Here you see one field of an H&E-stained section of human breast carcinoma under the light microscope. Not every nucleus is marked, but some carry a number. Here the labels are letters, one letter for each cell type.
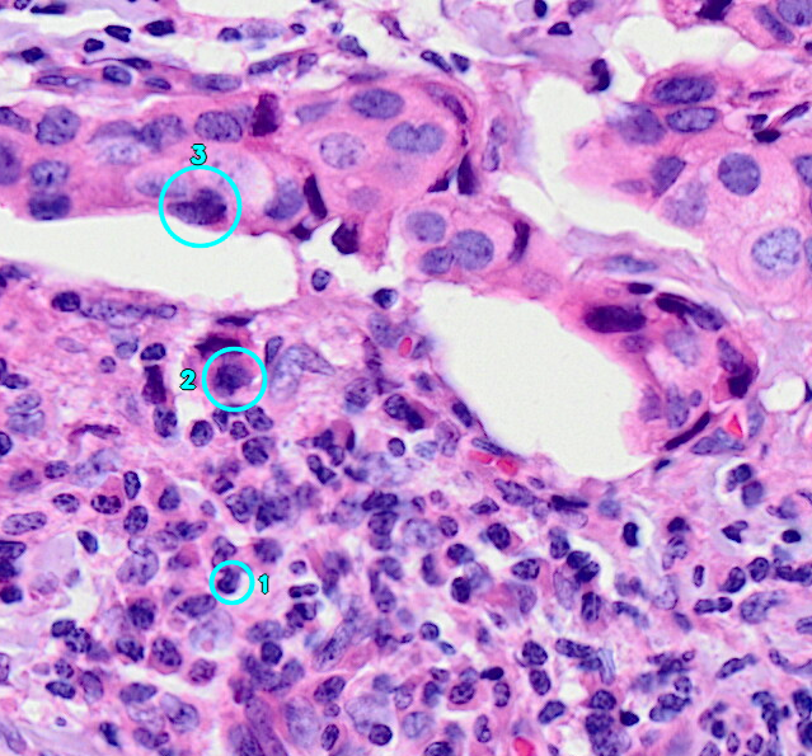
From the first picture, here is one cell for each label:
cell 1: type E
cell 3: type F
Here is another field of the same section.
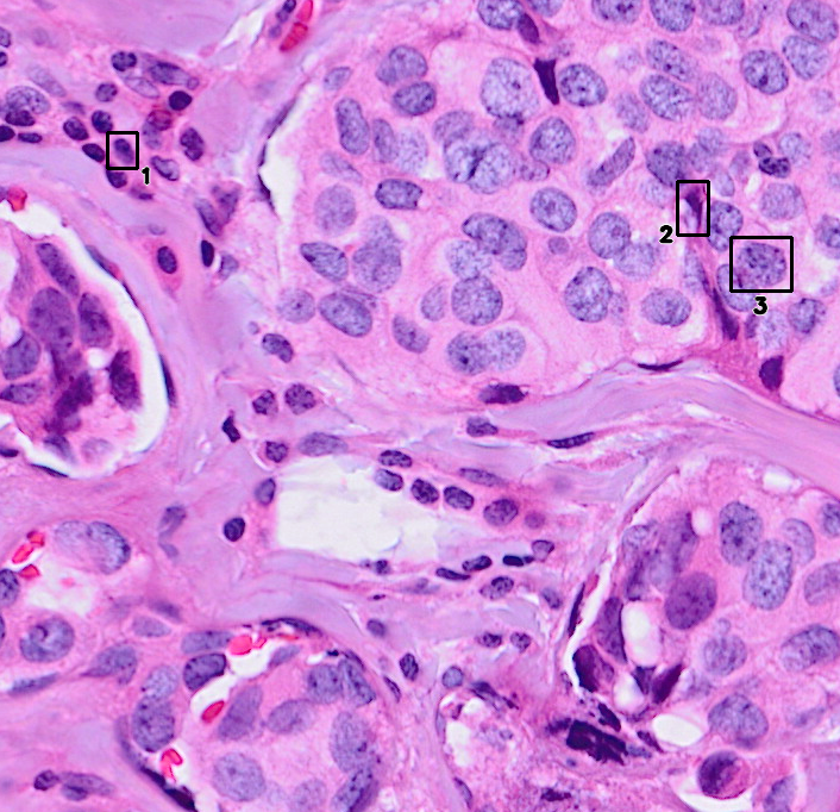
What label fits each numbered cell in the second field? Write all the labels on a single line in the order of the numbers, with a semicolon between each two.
type E; type F; type F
